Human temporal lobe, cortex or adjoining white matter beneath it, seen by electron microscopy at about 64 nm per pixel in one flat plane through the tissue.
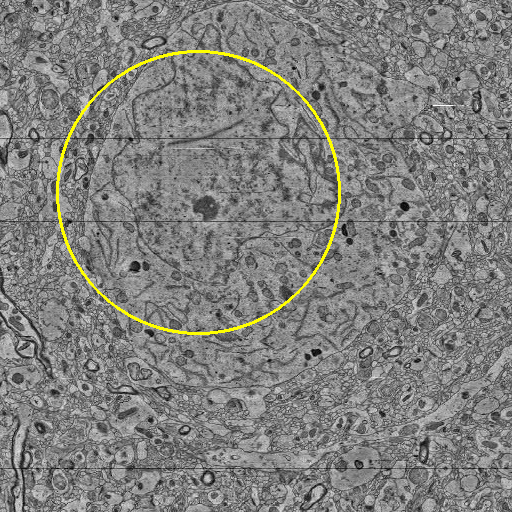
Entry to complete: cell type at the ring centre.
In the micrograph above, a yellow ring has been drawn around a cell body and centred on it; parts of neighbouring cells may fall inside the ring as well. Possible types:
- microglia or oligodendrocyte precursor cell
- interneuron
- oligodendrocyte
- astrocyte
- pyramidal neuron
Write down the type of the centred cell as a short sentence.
The ring is centred on an interneuron.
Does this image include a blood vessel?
No, the image shows no blood vessel.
